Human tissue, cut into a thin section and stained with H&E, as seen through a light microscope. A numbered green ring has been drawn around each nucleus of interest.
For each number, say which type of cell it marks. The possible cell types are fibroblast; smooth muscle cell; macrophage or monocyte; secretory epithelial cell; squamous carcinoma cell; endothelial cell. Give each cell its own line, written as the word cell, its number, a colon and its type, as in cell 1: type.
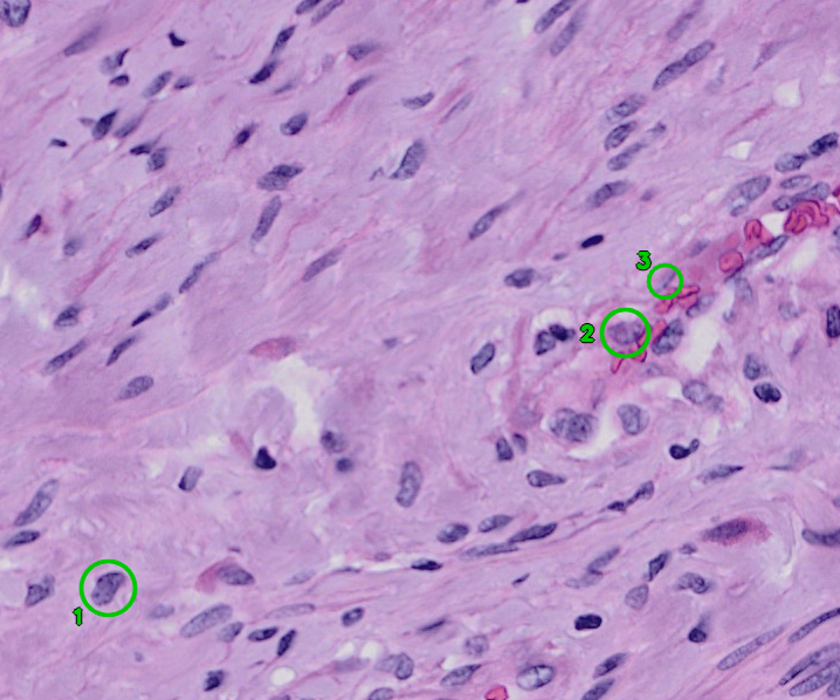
cell 1: fibroblast
cell 2: endothelial cell
cell 3: endothelial cell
